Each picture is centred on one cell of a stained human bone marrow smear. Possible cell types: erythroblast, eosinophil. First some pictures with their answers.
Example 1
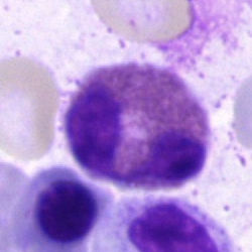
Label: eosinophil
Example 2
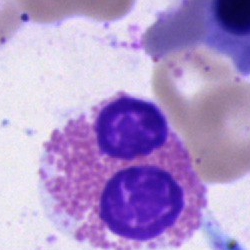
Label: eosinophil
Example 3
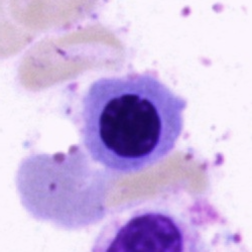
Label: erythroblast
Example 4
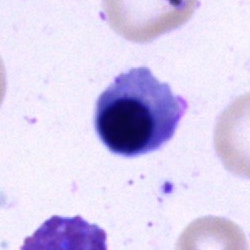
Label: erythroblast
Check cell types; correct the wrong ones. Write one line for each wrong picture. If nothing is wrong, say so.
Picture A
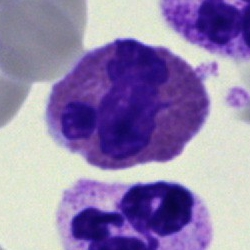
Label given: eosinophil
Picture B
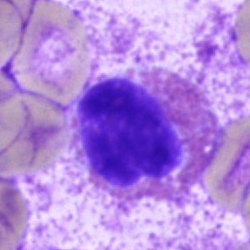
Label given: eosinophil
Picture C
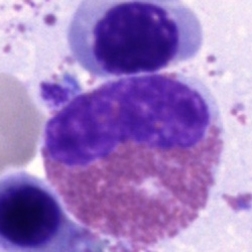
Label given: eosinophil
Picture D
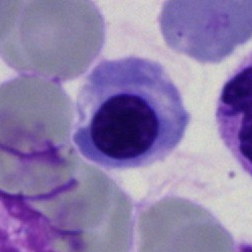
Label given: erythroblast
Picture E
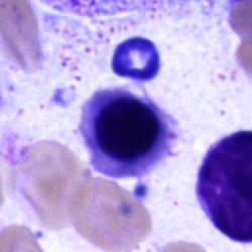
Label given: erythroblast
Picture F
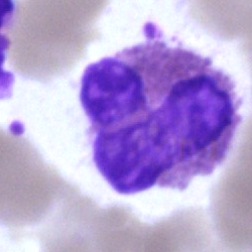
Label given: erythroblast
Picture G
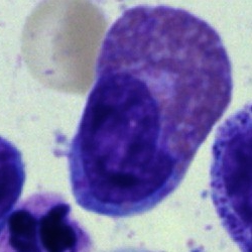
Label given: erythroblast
F is labelled erythroblast; correct label: eosinophil
G is labelled erythroblast; correct label: eosinophil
